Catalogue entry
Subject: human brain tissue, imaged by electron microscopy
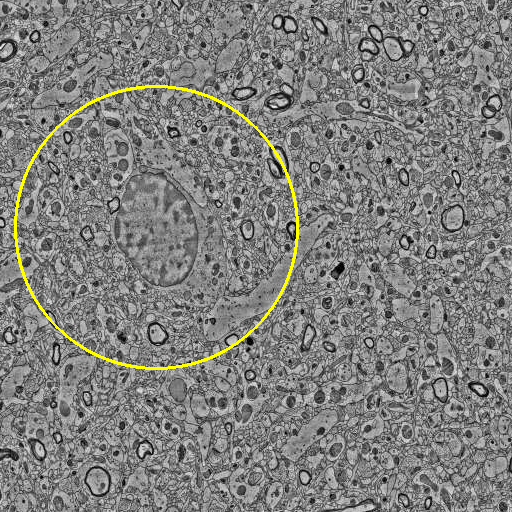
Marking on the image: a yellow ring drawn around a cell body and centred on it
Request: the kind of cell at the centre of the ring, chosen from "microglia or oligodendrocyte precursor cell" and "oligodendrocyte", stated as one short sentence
The ring has an oligodendrocyte at its centre.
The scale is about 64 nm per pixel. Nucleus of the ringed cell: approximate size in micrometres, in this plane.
In this plane, about 7 micrometres in length and 5 in width.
